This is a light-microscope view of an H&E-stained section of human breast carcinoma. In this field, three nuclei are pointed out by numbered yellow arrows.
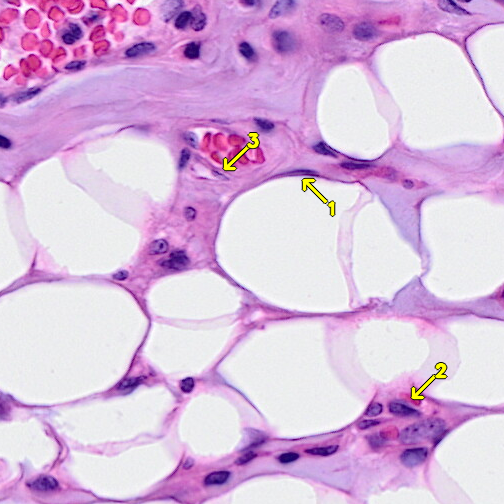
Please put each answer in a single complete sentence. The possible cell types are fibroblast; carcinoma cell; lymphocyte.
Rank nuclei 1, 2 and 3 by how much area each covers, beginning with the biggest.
The nuclei rank 2, 1, 3, from largest to smallest.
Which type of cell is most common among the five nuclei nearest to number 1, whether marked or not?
Of the five nuclei nearest to number 1, most belong to fibroblasts.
